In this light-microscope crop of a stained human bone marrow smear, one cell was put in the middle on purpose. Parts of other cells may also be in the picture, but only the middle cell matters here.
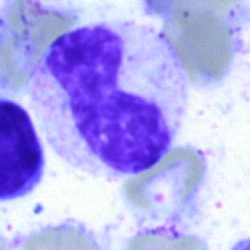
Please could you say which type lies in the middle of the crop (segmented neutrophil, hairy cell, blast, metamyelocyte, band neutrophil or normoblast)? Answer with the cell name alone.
band neutrophil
